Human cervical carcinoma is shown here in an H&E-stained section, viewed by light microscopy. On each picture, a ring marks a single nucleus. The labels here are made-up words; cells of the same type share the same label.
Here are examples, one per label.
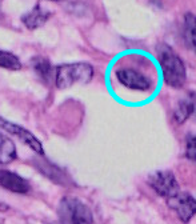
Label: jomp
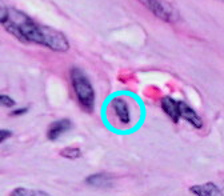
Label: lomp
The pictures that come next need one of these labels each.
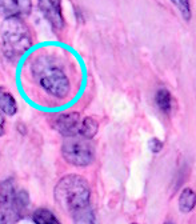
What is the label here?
lomp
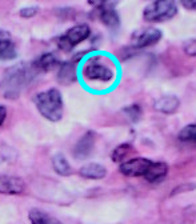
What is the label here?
jomp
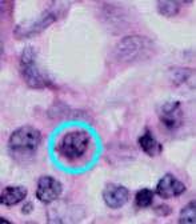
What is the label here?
jomp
